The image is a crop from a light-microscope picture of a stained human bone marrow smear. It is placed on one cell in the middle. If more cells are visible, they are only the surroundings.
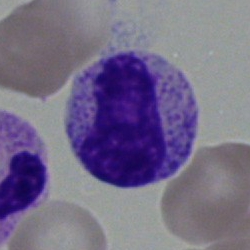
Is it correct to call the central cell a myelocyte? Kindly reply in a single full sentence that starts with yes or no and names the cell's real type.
No, in the centre of the crop lies a metamyelocyte, not a myelocyte.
